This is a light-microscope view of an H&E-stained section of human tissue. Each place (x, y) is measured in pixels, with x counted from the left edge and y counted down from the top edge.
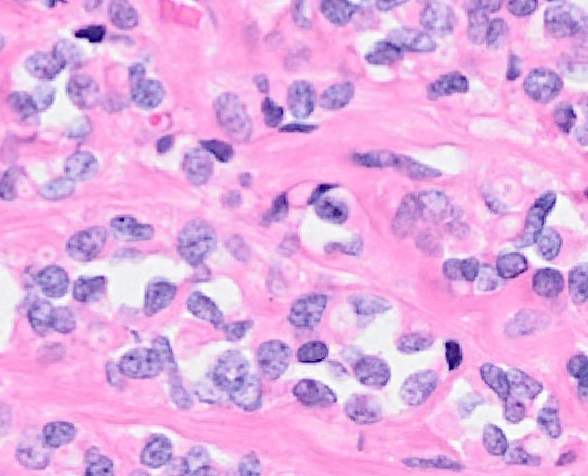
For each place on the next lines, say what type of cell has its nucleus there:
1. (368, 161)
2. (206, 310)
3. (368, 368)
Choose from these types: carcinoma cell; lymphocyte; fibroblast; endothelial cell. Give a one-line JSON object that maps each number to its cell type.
{"1": "endothelial cell", "2": "carcinoma cell", "3": "carcinoma cell"}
